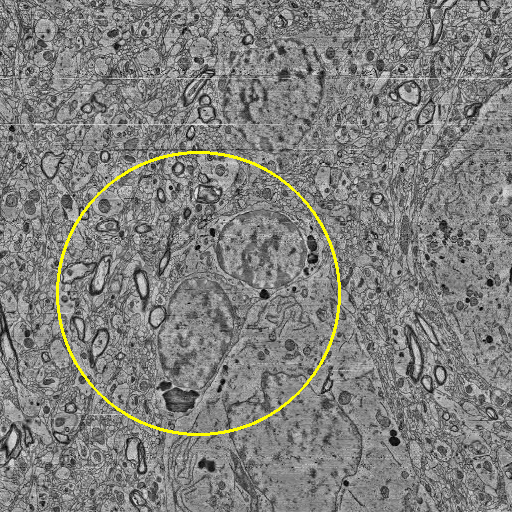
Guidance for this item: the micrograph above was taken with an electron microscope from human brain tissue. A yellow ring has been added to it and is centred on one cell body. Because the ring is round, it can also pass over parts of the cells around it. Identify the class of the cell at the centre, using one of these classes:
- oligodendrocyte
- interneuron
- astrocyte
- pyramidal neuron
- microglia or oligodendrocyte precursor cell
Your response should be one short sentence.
The ring surrounds the body of an oligodendrocyte.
